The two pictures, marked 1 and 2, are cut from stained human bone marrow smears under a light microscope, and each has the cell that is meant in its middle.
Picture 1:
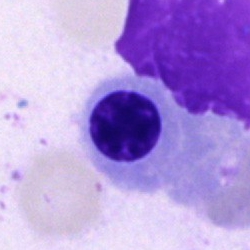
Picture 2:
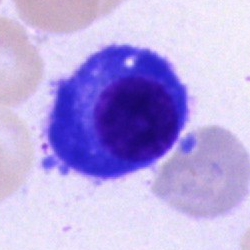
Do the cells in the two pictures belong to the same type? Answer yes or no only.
no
